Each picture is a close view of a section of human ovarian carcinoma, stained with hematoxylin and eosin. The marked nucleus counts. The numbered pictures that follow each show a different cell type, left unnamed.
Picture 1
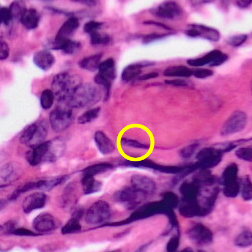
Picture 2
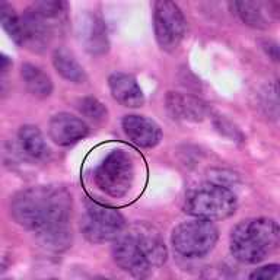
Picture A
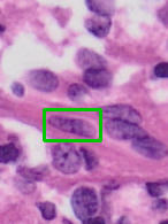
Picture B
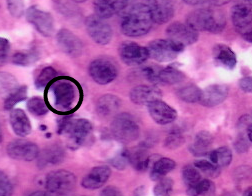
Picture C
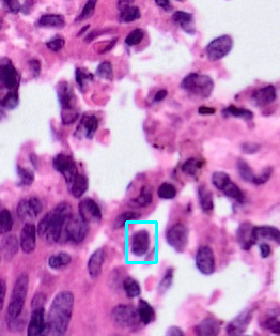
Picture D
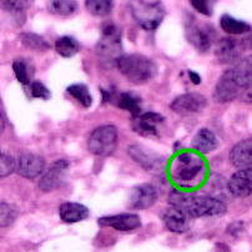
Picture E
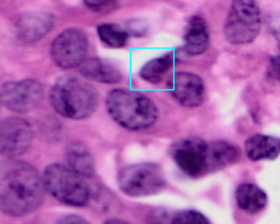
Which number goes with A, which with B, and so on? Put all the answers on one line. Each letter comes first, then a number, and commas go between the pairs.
A 1, B 2, C 2, D 2, E 2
